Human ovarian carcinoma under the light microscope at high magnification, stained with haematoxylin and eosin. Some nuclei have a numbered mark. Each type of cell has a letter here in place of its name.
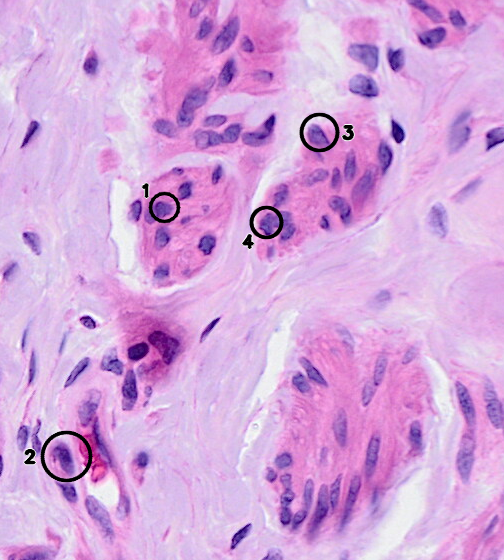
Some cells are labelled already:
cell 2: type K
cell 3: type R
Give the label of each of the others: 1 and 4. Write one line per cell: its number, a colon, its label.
1: type R
4: type R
